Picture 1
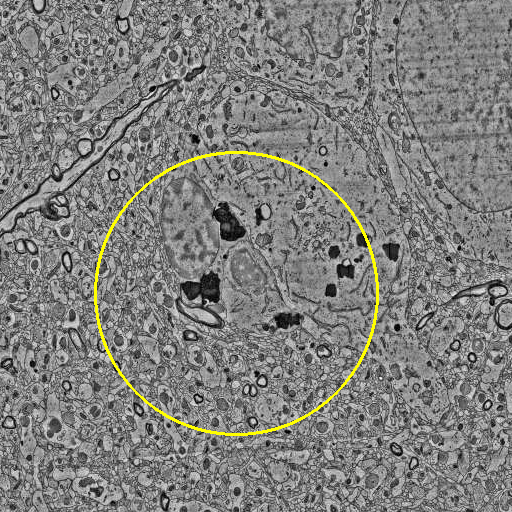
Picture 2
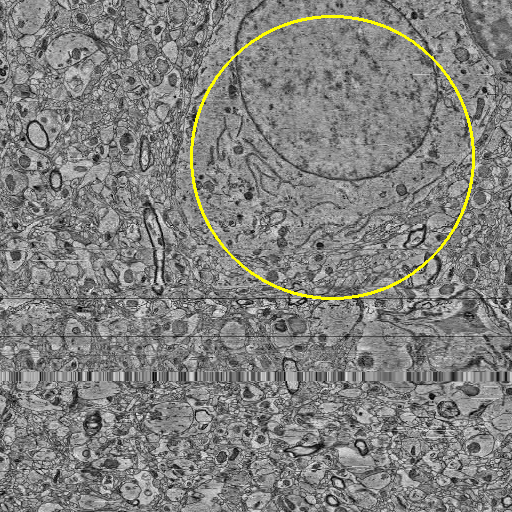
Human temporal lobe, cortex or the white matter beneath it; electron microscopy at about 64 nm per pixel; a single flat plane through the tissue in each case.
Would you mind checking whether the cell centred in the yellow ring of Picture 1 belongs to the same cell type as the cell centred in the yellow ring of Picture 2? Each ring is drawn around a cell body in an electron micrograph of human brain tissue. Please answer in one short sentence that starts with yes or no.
No, the two cells are of two types.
